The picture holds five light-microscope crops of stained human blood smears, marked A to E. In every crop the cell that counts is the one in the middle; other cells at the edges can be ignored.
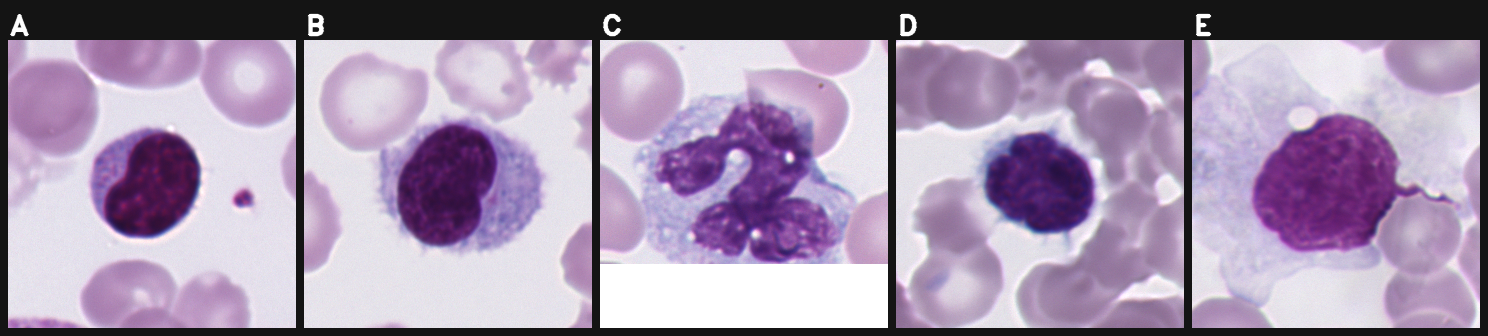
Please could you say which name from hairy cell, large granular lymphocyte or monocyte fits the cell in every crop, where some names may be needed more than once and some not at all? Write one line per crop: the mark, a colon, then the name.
A: large granular lymphocyte
B: hairy cell
C: monocyte
D: hairy cell
E: hairy cell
